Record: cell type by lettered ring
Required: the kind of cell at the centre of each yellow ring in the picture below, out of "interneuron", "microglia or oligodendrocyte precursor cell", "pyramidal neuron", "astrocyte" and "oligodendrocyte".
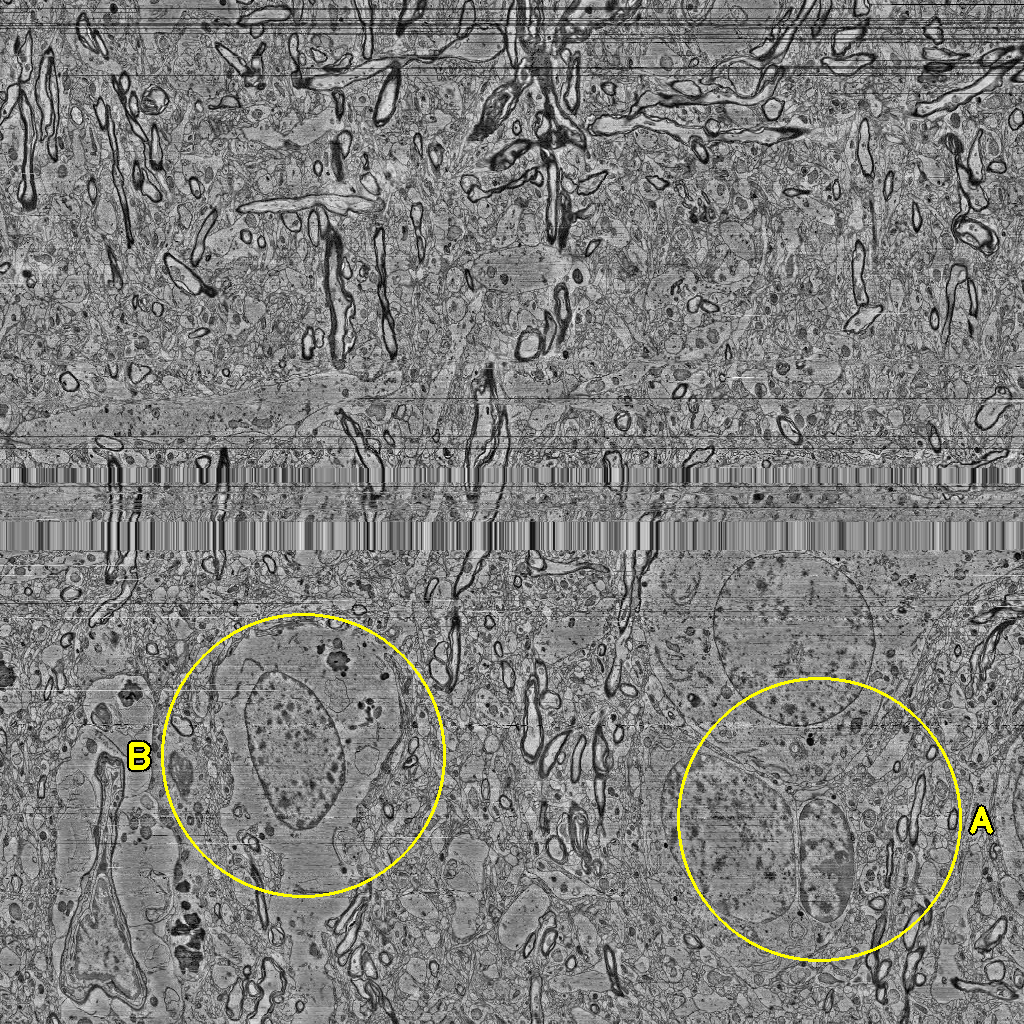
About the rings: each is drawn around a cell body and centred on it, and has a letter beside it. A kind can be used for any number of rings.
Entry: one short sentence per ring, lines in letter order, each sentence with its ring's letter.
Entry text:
At ring A we have a microglial cell or oligodendrocyte precursor cell.
At ring B we have an astrocyte.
